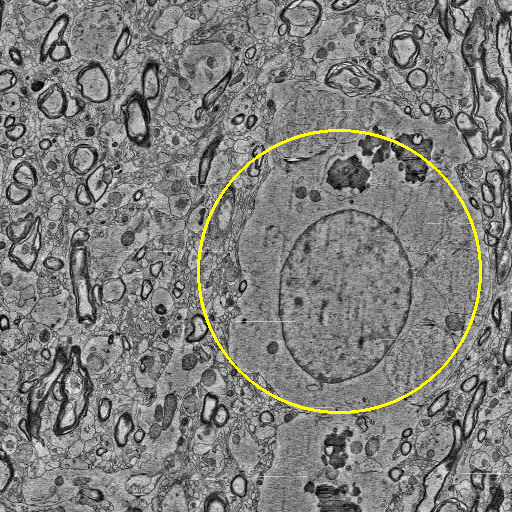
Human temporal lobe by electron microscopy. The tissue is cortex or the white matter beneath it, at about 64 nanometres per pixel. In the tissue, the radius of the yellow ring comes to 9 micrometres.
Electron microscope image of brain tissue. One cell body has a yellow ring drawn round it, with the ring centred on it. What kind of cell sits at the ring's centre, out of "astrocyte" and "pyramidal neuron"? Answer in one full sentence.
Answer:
It is an astrocyte whose cell body sits at the centre of the yellow ring.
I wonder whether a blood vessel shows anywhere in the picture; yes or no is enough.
Yes, a blood vessel shows in the picture.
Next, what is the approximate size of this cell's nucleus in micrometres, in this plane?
In this plane, about 11 micrometres in length and 8 in width.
